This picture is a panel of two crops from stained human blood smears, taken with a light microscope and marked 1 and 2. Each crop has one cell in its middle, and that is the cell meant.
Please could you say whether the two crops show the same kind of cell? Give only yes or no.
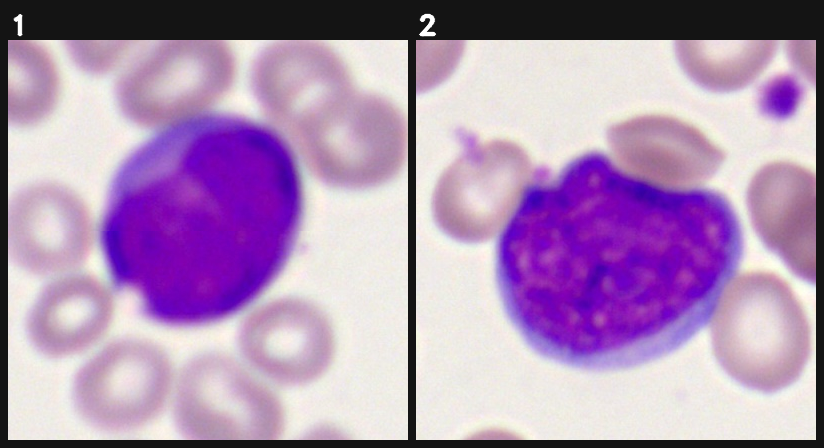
yes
